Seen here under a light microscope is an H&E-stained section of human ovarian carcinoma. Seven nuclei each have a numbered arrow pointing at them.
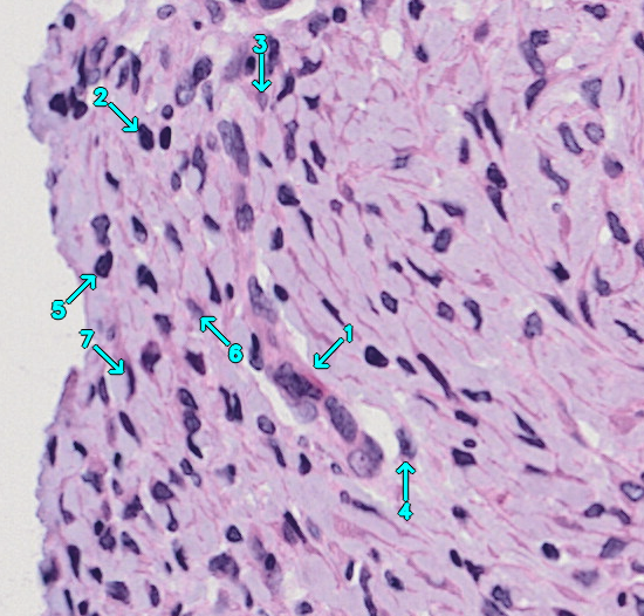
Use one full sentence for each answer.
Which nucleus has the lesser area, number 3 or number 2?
It is nucleus 3; nucleus 2 has about 2 times its area.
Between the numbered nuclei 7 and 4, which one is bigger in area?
It is nucleus 4, which covers about 2 times the area of nucleus 7.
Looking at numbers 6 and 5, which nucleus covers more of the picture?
Of the two, number 5 is bigger and takes up about 2.5 times the area of number 6.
